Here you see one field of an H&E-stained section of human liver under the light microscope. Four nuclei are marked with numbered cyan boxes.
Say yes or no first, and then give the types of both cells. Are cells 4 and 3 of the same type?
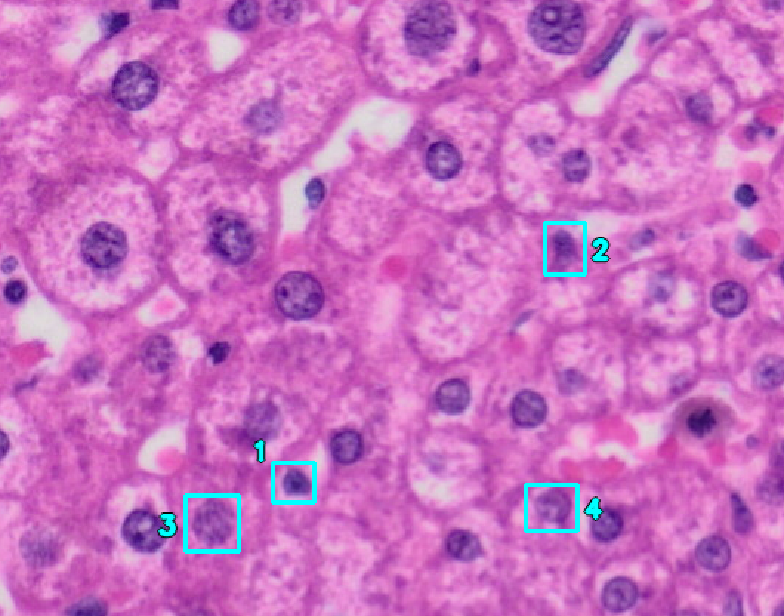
Yes, cells 4 and 3 are both counted as hepatocytes.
